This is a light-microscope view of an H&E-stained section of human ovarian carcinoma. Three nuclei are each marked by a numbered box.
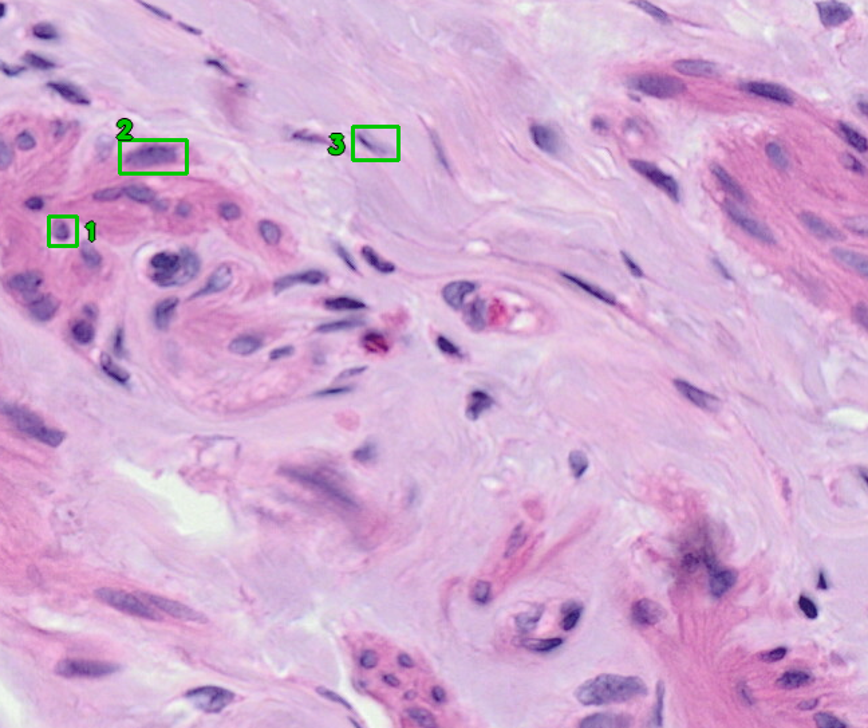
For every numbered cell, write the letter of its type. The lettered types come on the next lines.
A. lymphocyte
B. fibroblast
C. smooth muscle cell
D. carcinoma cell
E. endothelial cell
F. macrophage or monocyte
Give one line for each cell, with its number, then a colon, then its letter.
1: C
2: C
3: B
